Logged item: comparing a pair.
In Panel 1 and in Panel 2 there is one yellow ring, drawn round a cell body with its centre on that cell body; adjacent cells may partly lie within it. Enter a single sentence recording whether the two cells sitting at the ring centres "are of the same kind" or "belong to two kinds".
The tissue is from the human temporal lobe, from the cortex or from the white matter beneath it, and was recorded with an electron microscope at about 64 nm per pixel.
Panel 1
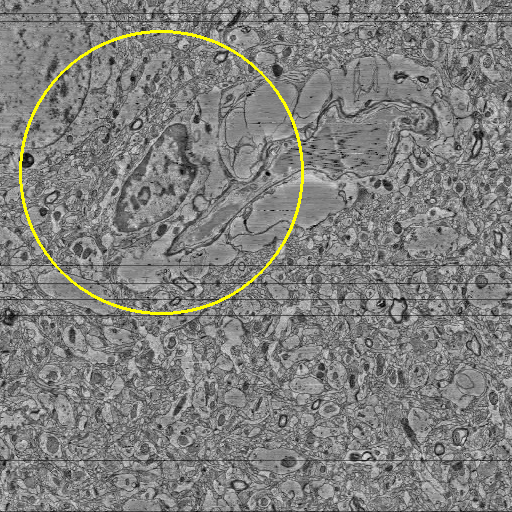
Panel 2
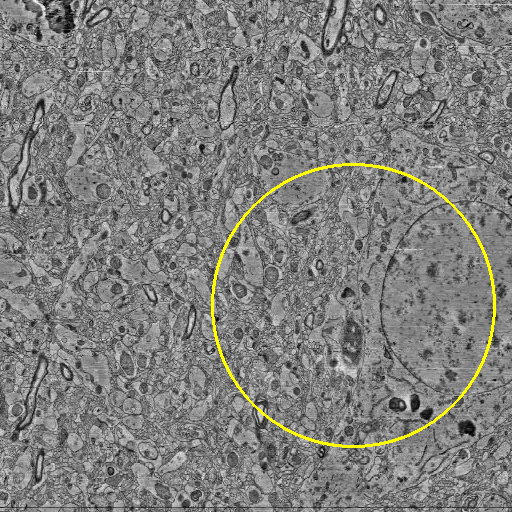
Logged: the cells centred in the rings of Panel 1 and Panel 2 are of the same kind.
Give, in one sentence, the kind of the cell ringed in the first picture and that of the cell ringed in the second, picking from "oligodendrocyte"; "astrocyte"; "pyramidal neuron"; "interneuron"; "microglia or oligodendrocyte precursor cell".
The cell at the ring centre is a microglial cell or oligodendrocyte precursor cell in both pictures.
